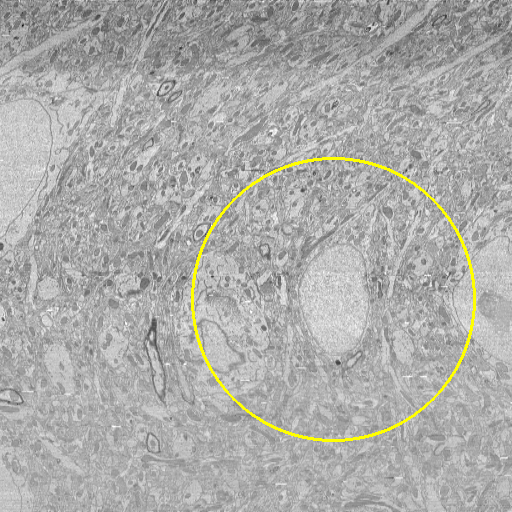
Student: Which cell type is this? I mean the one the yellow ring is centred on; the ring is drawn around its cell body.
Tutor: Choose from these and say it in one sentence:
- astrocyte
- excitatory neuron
The cell the ring is centred on is an astrocyte.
